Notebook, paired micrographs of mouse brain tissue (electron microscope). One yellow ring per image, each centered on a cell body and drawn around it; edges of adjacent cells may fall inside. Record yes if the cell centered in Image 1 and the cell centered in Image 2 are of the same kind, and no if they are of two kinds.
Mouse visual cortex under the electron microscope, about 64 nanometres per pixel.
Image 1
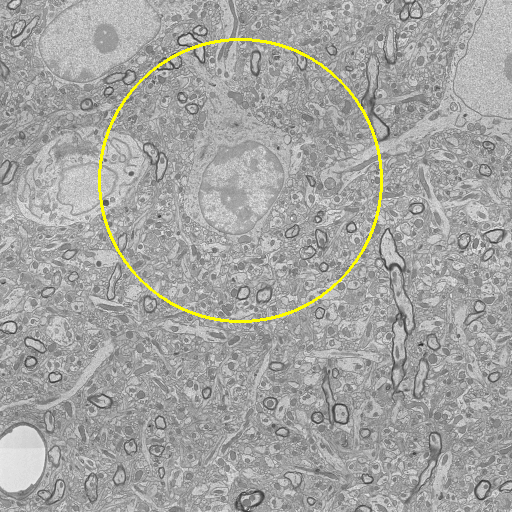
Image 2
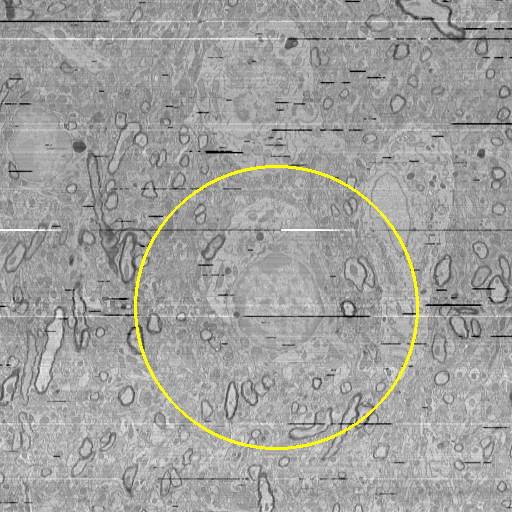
yes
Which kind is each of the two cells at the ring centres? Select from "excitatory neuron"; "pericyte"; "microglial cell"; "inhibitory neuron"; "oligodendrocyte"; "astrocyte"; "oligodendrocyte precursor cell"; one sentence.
Each cell at the centre of a ring is an oligodendrocyte.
